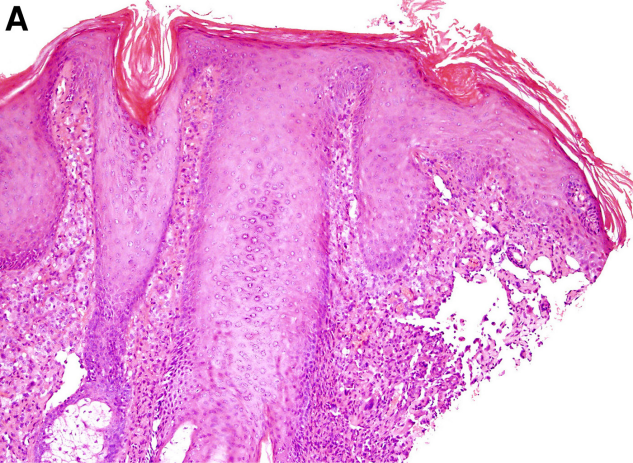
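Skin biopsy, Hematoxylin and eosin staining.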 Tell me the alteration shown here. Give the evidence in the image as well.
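The dermis beneath the epidermis is densely cellular. The cellular zone lies in the dermal papillae and upper dermis on the right. Irregular clefts and spaces run through the cellular dermis.
Answer: dermal infiltrate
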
